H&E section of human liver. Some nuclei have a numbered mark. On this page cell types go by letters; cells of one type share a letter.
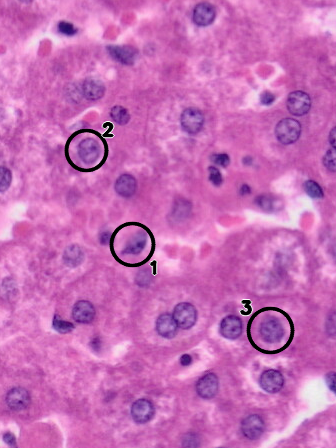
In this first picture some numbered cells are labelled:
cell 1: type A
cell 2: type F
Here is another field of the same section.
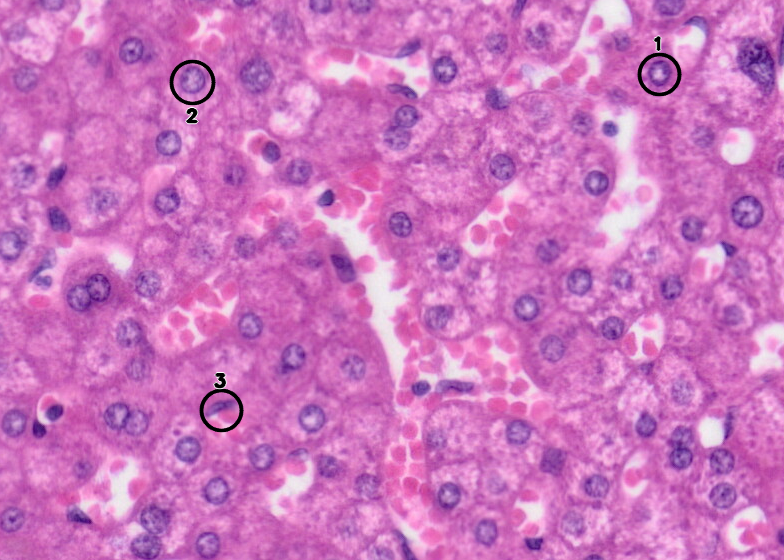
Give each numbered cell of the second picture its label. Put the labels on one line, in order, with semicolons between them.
type F; type F; type A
